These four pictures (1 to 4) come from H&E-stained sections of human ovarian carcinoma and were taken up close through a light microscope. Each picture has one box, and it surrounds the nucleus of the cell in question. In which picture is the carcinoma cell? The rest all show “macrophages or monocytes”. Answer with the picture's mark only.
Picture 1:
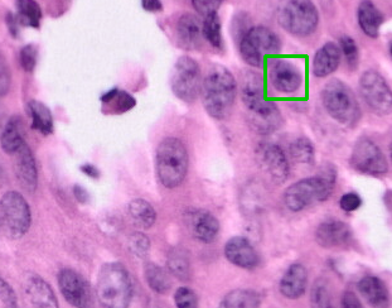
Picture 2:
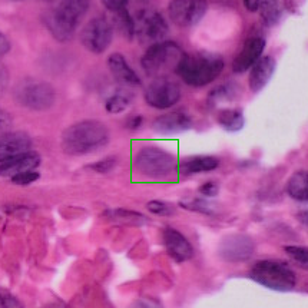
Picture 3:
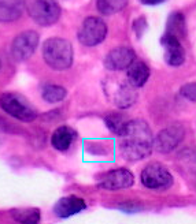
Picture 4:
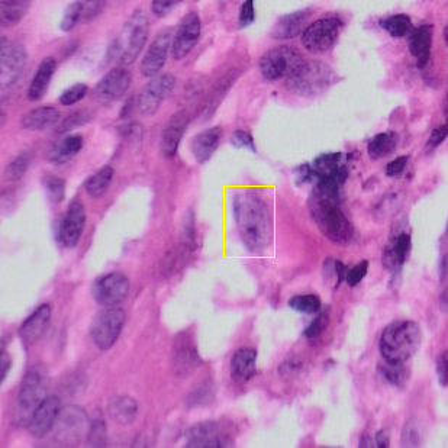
2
